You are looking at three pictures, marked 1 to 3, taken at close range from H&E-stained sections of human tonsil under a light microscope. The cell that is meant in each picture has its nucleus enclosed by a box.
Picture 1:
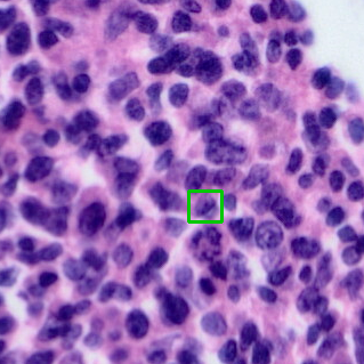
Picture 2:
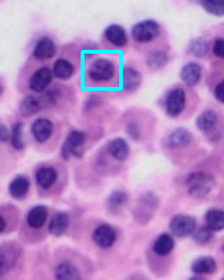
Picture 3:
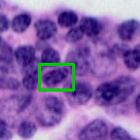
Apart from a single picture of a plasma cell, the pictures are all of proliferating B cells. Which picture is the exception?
2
